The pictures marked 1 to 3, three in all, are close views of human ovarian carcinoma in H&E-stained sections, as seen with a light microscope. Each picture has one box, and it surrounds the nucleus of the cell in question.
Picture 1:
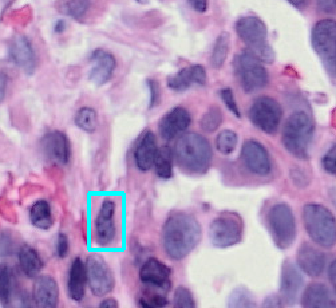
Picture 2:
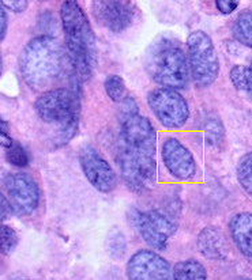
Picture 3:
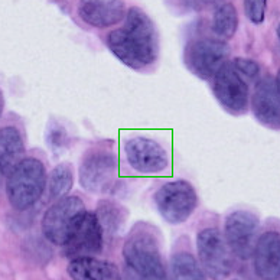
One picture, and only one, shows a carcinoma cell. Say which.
2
